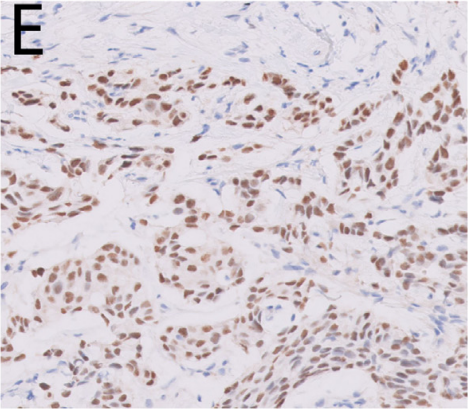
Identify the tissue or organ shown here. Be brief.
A: Invasive carcinoma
